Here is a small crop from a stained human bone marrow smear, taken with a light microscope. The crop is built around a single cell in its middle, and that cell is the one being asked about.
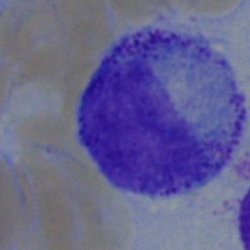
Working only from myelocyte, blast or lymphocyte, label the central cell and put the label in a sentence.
In the center of this field lies a myelocyte.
